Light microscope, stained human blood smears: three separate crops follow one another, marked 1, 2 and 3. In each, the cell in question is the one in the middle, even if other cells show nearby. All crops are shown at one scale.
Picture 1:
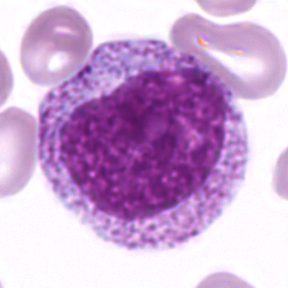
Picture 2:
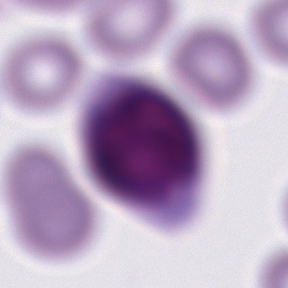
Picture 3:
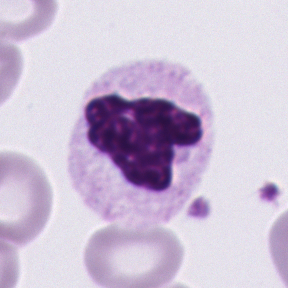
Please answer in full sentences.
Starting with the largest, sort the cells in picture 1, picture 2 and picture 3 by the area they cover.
From the largest down, the order is 1, 3, 2.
